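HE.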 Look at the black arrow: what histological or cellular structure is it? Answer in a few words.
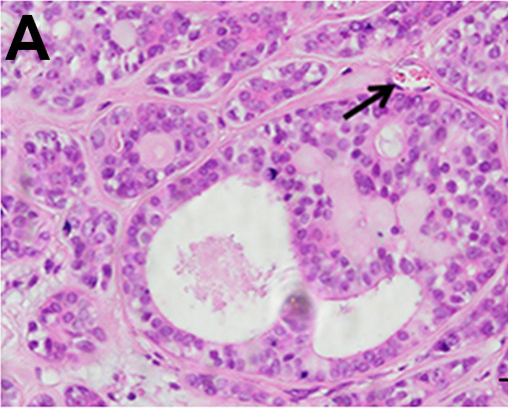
Blood vessels.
